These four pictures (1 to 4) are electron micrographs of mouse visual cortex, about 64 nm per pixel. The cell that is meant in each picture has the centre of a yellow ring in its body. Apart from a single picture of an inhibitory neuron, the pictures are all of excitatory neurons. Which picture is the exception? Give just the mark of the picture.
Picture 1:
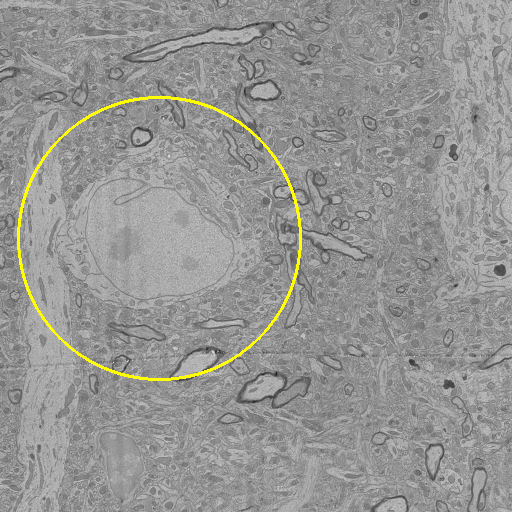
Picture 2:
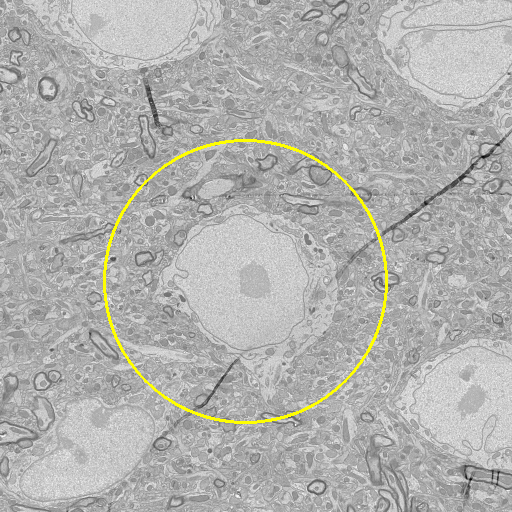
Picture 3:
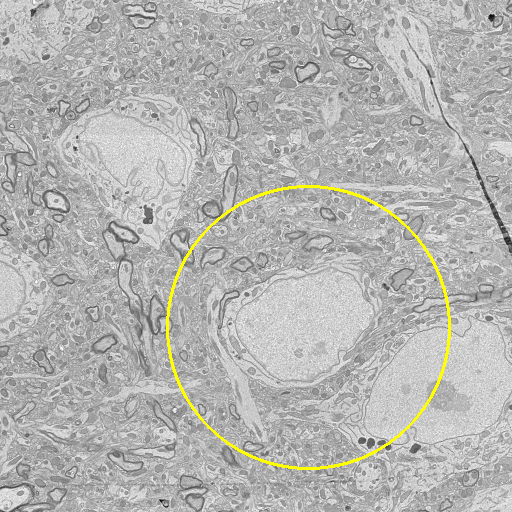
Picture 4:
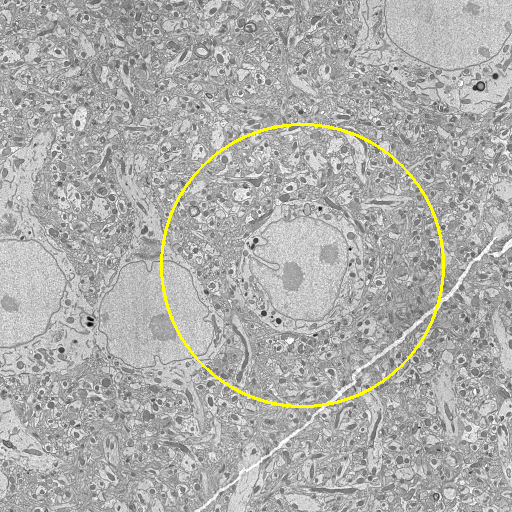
4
